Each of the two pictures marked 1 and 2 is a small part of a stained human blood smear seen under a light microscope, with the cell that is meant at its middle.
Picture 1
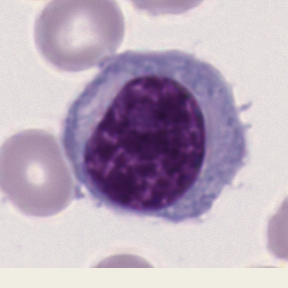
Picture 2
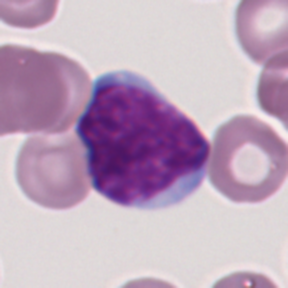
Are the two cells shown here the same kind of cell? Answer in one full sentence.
No, the types are not the same, since picture 1 shows a plasma cell and picture 2 a typical lymphocyte.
